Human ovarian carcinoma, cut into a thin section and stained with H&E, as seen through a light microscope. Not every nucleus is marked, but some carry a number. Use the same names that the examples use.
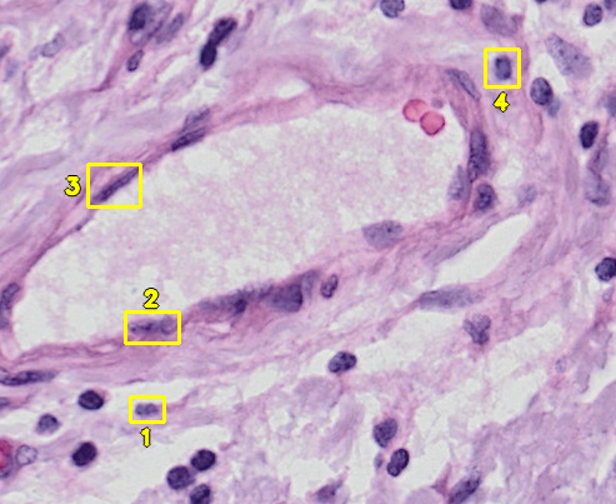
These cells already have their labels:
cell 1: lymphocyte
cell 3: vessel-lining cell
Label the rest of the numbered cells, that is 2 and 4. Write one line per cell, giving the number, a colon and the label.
2: vessel-lining cell
4: lymphocyte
